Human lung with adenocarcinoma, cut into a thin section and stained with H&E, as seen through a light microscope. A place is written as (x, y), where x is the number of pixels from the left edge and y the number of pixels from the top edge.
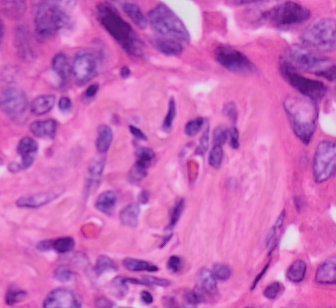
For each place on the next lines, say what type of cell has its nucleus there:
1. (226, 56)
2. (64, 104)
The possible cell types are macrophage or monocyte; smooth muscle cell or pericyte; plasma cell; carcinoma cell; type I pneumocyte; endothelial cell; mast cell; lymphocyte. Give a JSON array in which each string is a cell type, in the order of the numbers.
["carcinoma cell", "lymphocyte"]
